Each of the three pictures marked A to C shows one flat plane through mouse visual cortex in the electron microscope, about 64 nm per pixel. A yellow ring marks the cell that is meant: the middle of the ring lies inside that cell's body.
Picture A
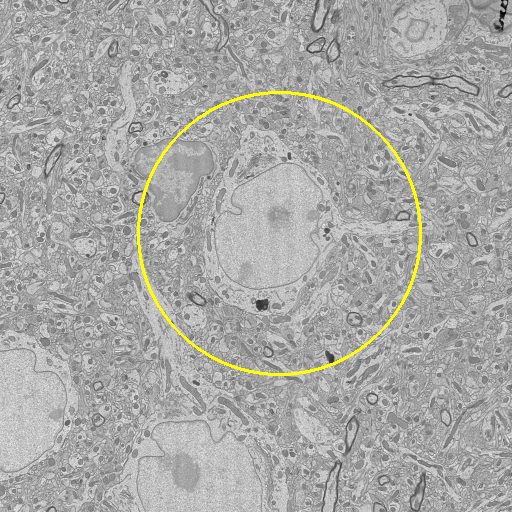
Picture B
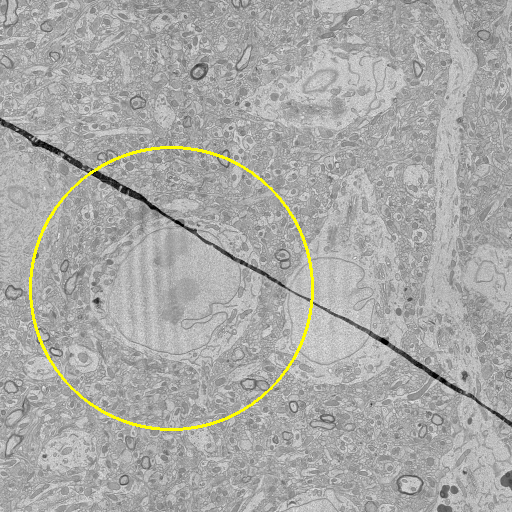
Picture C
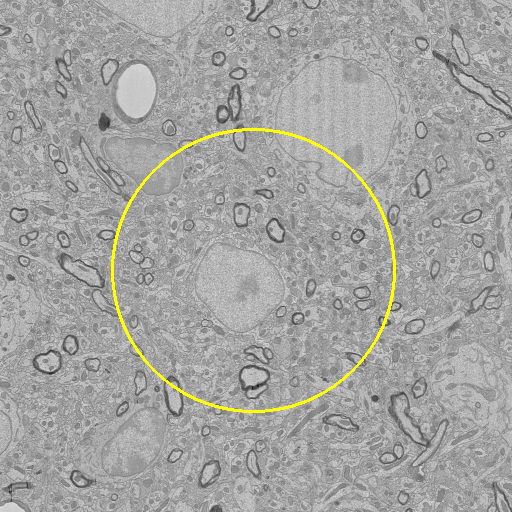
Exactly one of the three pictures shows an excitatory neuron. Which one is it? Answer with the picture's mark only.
A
